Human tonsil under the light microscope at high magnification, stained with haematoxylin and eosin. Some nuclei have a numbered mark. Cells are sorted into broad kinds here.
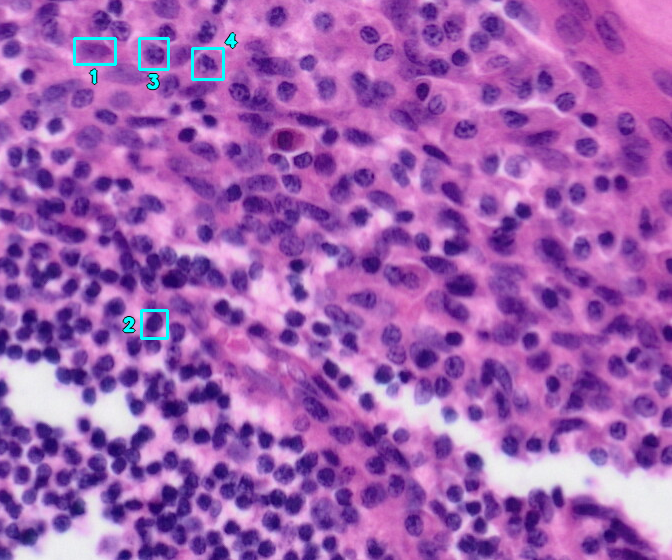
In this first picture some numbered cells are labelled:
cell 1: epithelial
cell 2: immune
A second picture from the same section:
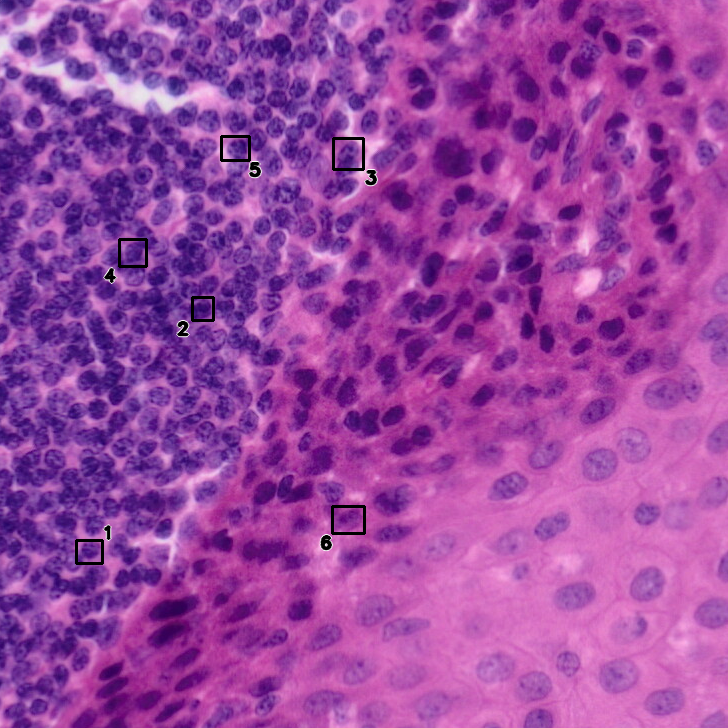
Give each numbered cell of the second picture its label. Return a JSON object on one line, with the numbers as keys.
{"1": "immune", "2": "immune", "3": "immune", "4": "immune", "5": "immune", "6": "epithelial"}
